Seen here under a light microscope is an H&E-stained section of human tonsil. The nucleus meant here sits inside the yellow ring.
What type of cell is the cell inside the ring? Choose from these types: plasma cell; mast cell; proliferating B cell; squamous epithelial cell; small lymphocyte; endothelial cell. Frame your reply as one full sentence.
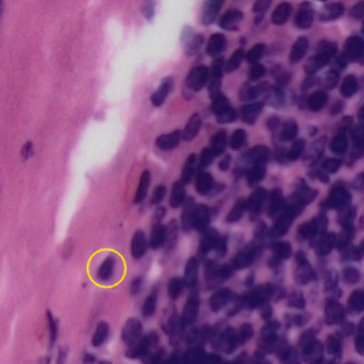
So far as cell type goes, the cell inside the ring is a mast cell.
